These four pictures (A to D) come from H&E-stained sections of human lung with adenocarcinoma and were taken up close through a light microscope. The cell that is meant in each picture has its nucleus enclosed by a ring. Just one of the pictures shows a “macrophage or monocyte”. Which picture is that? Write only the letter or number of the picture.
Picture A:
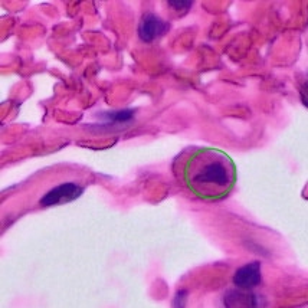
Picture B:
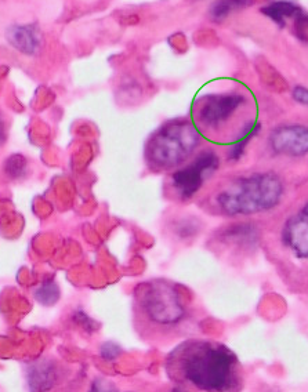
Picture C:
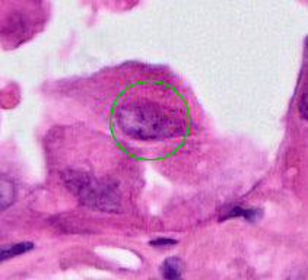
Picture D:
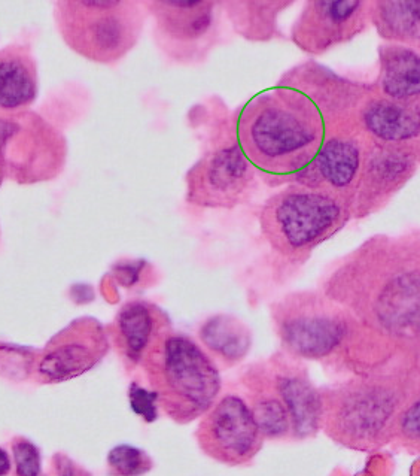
A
